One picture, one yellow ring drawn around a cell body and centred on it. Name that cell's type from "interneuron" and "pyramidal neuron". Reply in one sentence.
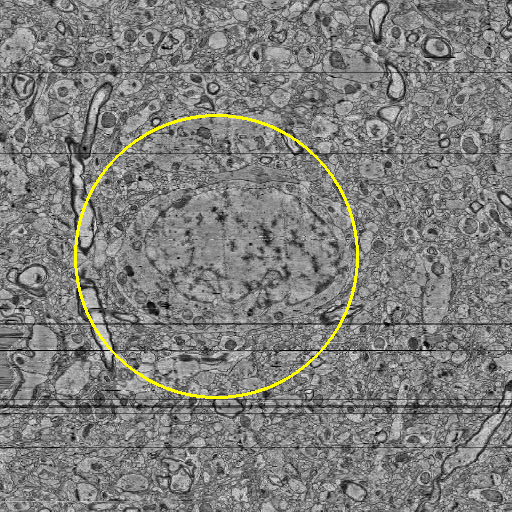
Centred in the ring is an interneuron.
